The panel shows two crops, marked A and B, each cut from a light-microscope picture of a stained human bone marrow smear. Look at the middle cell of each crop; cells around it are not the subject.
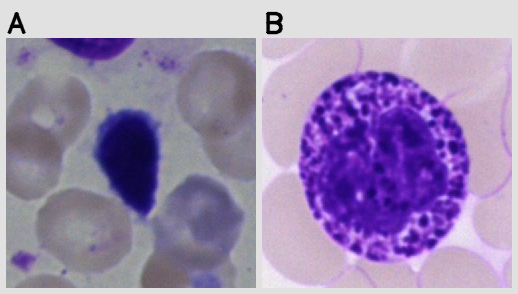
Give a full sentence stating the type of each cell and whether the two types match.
No, a basophil is the cell in crop B, and crop A contains a lymphocyte.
